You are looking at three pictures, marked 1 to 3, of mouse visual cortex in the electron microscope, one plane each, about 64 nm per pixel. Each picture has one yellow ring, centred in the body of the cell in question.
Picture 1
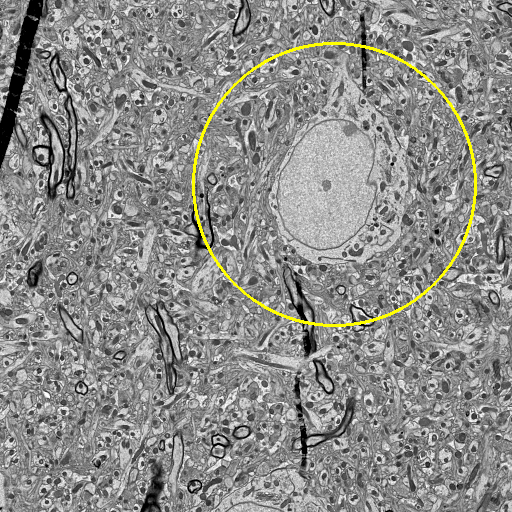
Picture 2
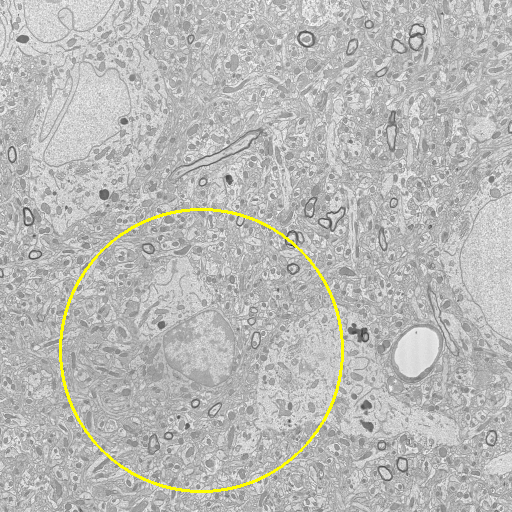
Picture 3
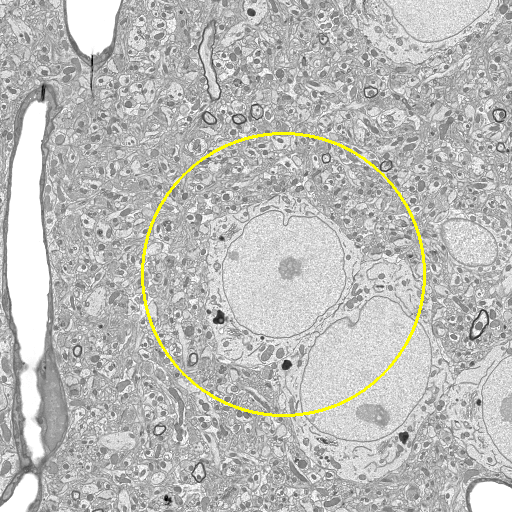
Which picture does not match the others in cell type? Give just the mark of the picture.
2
